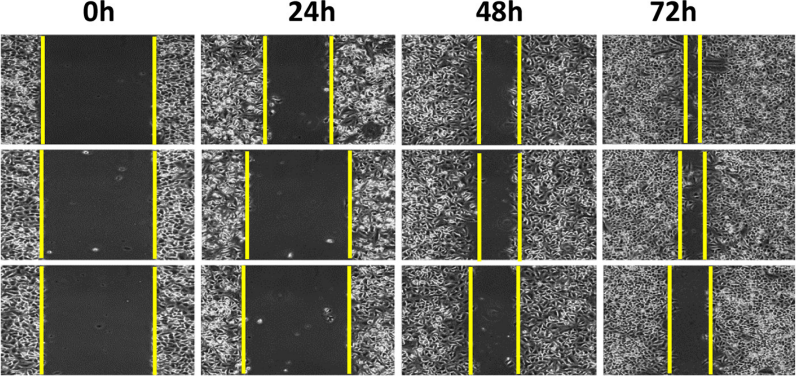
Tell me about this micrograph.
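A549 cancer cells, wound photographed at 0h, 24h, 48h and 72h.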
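A vertical strip free of cells, bounded by yellow lines, cuts through each field. Single cells lie scattered at the edges and inside the strip. In some fields the strip is much narrower, where cells have moved in from both sides to close the gap.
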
